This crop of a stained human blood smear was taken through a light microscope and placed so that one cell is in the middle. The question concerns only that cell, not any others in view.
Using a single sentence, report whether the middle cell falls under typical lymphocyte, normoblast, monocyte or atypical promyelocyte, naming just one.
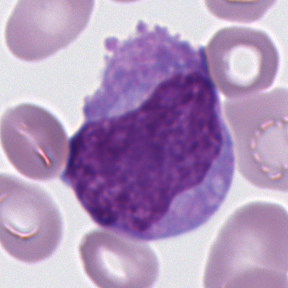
As for the central cell, it is an atypical promyelocyte.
